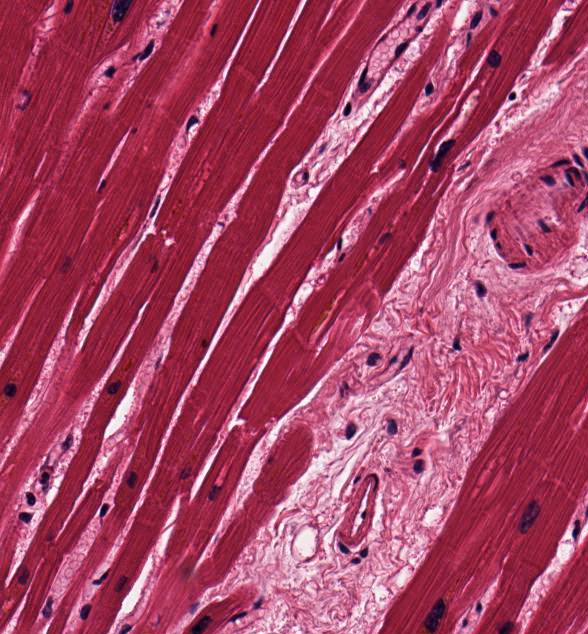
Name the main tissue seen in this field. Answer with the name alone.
myocardium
